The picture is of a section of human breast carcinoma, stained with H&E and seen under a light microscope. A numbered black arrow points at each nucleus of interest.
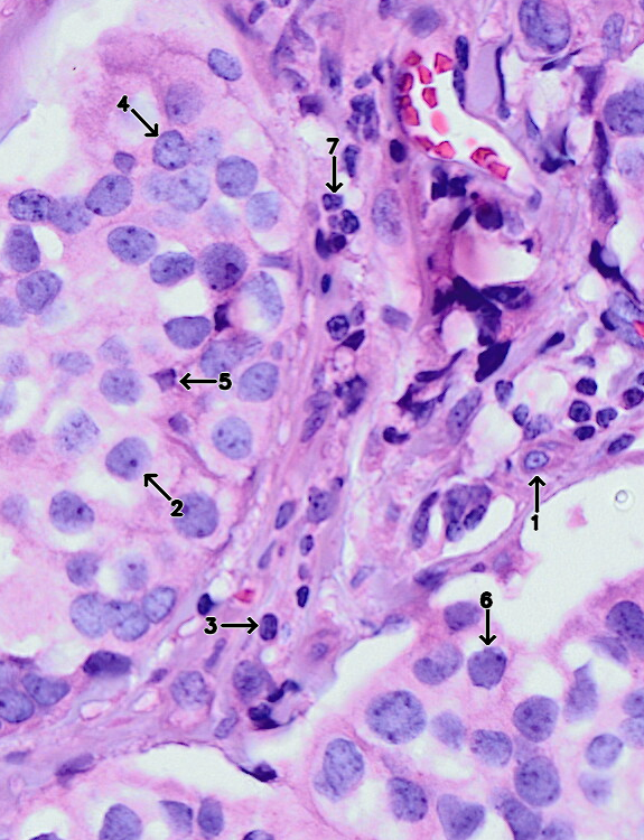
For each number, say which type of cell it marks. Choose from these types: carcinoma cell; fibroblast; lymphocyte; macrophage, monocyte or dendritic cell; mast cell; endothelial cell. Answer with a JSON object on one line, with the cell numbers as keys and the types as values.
{"1": "endothelial cell", "2": "carcinoma cell", "3": "lymphocyte", "4": "carcinoma cell", "5": "carcinoma cell", "6": "carcinoma cell", "7": "lymphocyte"}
